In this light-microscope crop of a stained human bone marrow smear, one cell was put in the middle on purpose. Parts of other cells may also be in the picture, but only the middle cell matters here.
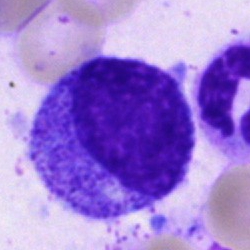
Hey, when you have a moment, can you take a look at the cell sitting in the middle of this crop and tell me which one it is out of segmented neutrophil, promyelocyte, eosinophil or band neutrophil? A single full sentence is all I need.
Of the cells in this crop, the central one is a promyelocyte.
